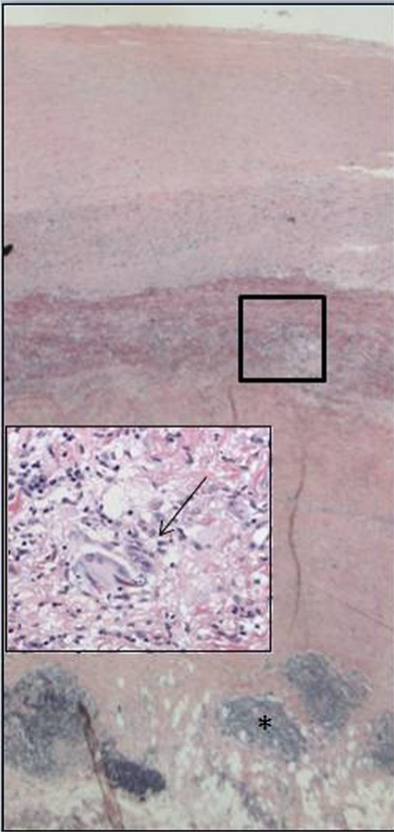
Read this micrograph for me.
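Full-thickness aortic wall in pink and purple stain. The inner layer is broad, pale pink and fibrous with sparse cells. The middle layer is a thinner, darker pink band containing a patchy infiltrate of small round and oval nuclei; in the enlarged inset these inflammatory cells lie scattered in loose pink fibres, and a large cell with several clustered nuclei is seen among them. The outer layer is pale pink, dense and poorly cellular, and at its outer edge contains several dense dark blue nodular clusters of small lymphoid cells.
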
